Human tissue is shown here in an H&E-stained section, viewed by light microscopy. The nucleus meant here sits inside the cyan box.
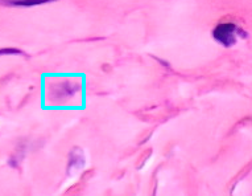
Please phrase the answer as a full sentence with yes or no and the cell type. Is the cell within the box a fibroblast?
Yes, as far as cell type goes, the cell within the box is a fibroblast.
